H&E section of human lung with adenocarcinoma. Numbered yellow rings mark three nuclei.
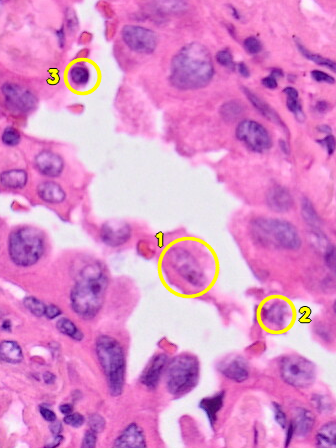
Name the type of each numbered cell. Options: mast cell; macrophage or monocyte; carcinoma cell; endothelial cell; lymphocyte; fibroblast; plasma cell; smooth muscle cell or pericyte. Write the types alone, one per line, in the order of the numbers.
macrophage or monocyte
macrophage or monocyte
lymphocyte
